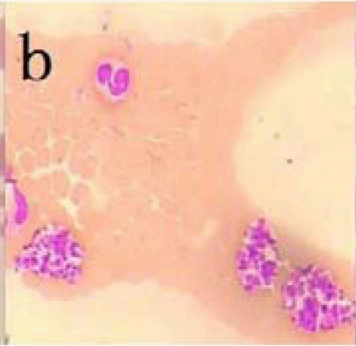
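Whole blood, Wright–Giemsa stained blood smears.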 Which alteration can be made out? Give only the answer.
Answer: Platelet aggregation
